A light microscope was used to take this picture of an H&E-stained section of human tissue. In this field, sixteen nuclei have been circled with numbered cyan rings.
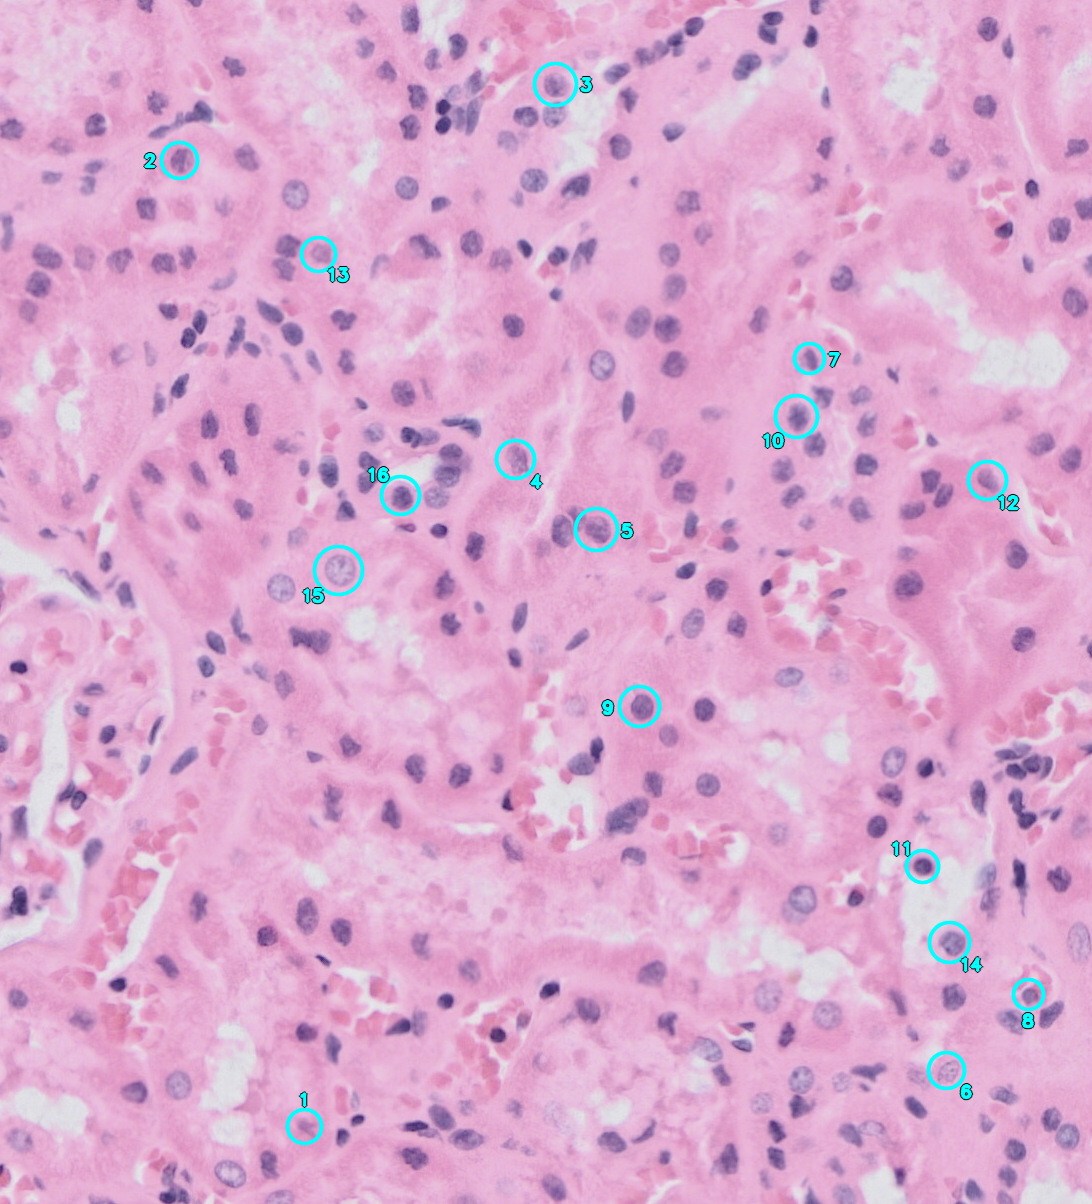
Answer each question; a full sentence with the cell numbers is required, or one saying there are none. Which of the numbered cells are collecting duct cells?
Only at number 16 is there a collecting duct cell among the marked cells.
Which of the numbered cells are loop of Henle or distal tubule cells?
The cells tagged 3, 6, 7, 10, 11 and 14 are loop of Henle or distal tubule cells in this tissue section.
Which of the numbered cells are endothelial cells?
Response: cell 8 is an endothelial cell, and no other numbered cell is.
